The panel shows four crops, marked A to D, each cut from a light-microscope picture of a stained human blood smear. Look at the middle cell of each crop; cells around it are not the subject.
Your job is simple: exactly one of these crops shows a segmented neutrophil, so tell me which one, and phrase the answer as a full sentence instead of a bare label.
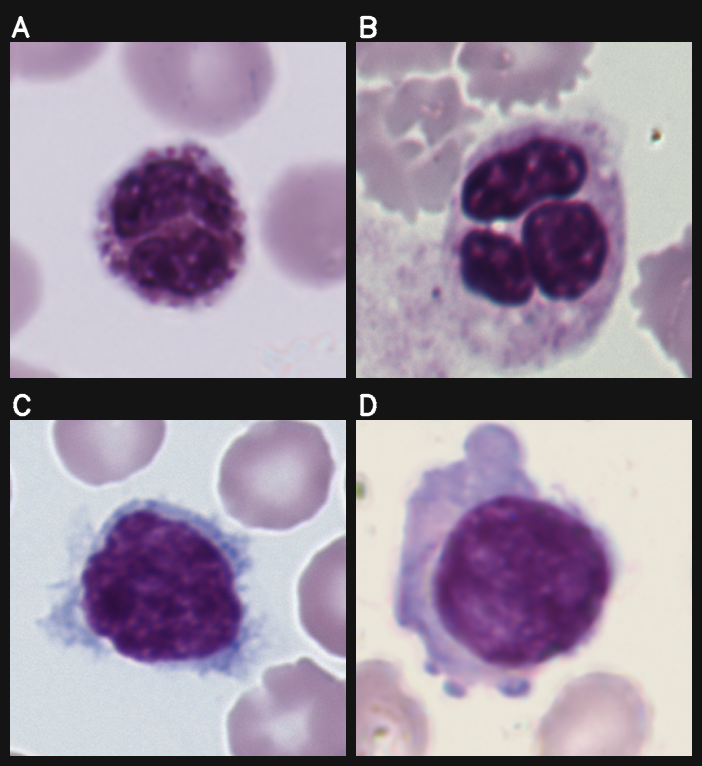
The one showing a segmented neutrophil is crop B.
